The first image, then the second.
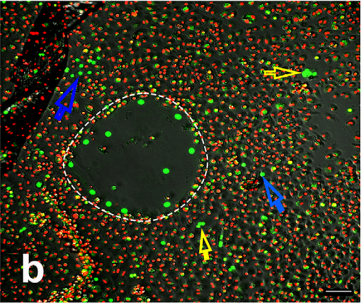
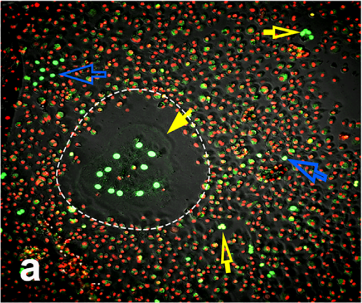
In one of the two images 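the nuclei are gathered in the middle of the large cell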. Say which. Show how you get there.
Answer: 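The second image. First image: green nuclei in the outlined cell sit along its edge with an empty middle. Second image: green nuclei cluster in the central part of the outlined cell.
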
